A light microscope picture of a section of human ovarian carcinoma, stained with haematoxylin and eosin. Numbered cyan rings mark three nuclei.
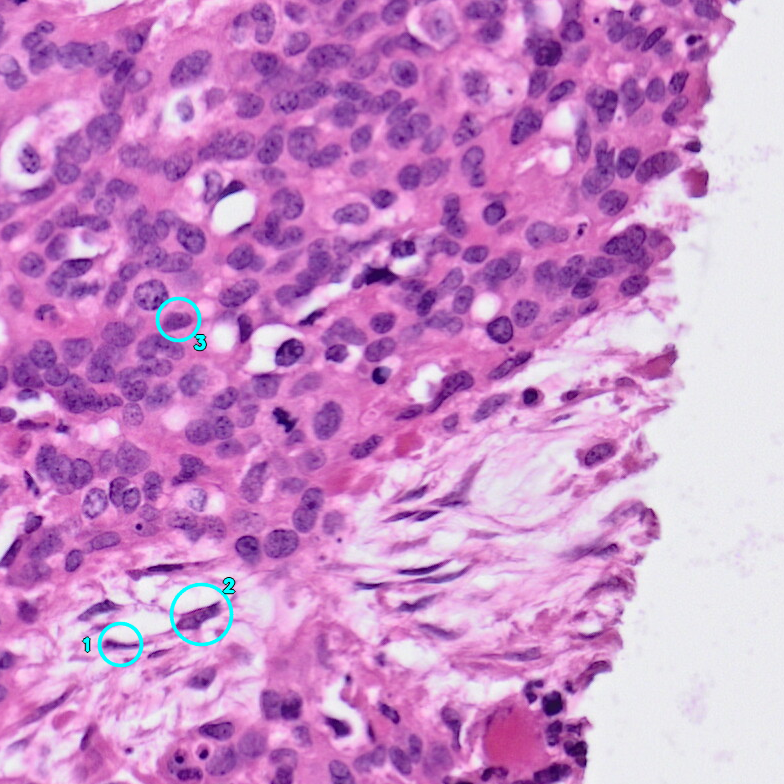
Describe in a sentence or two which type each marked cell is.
Cell 1 is a fibroblast, cell 2 is a fibroblast and cell 3 is a carcinoma cell.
